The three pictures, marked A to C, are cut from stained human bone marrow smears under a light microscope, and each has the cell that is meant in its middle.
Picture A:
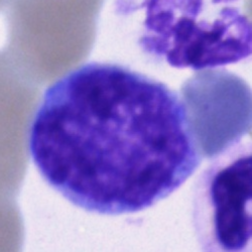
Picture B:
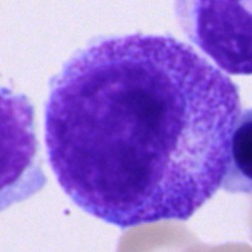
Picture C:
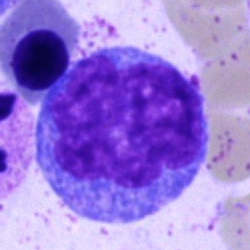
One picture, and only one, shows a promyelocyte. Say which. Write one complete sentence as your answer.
It is picture B that shows the promyelocyte.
